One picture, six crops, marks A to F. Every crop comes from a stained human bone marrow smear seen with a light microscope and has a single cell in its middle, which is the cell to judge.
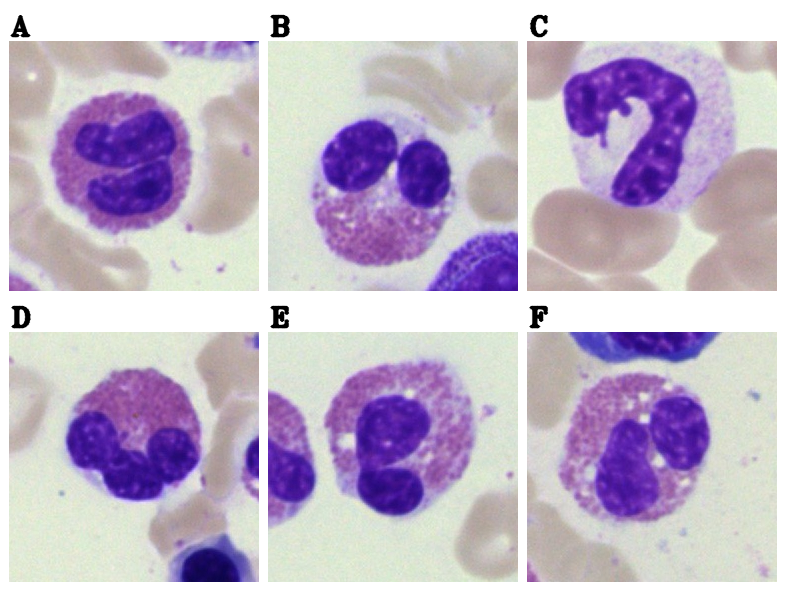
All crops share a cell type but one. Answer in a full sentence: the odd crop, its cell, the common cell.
The different crop is C; it is a band neutrophil, and the others all show eosinophils.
